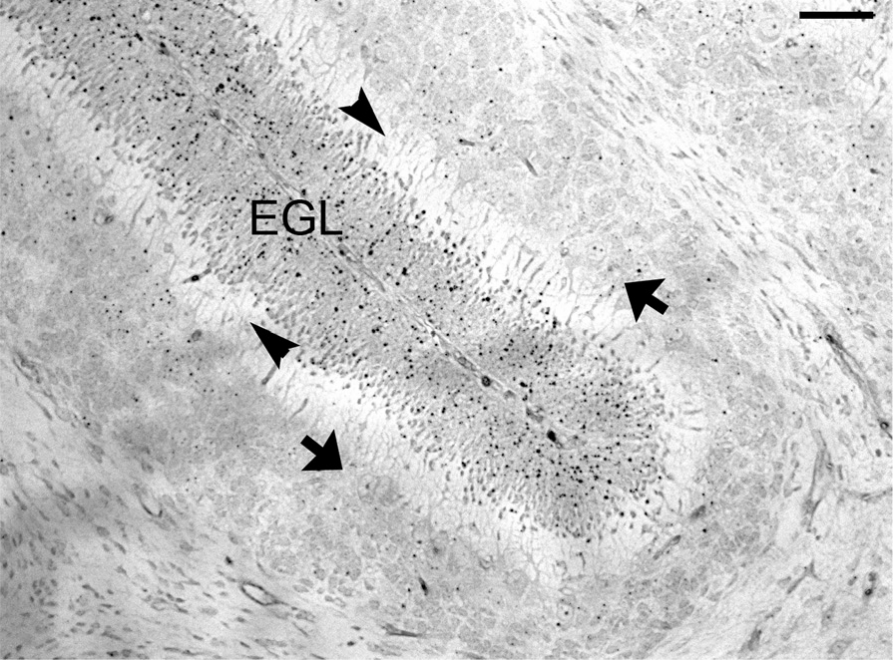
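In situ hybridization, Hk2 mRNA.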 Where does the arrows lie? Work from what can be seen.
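The arrows point to a zone of larger, rounded cells deep to a pale band. The pale band separates this zone from the densely packed outer cell layer.
Hence: Purkinje cell layer.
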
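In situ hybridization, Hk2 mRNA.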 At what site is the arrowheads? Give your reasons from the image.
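Molecular layer. The arrowheads point to a pale band with fine radially oriented fibres. The band lies immediately beneath the densely cellular layer with dark dots.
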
